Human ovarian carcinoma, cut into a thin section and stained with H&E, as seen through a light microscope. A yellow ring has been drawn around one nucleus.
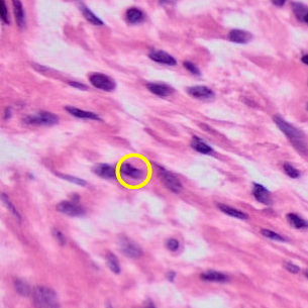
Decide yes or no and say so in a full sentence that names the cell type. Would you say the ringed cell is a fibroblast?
Yes, the description of the ringed cell as a fibroblast is accurate.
